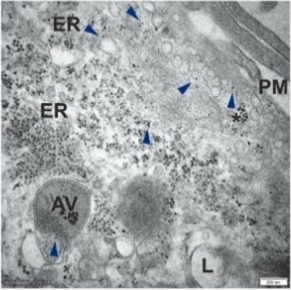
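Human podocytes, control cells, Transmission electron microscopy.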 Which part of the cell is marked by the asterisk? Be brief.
glycogen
